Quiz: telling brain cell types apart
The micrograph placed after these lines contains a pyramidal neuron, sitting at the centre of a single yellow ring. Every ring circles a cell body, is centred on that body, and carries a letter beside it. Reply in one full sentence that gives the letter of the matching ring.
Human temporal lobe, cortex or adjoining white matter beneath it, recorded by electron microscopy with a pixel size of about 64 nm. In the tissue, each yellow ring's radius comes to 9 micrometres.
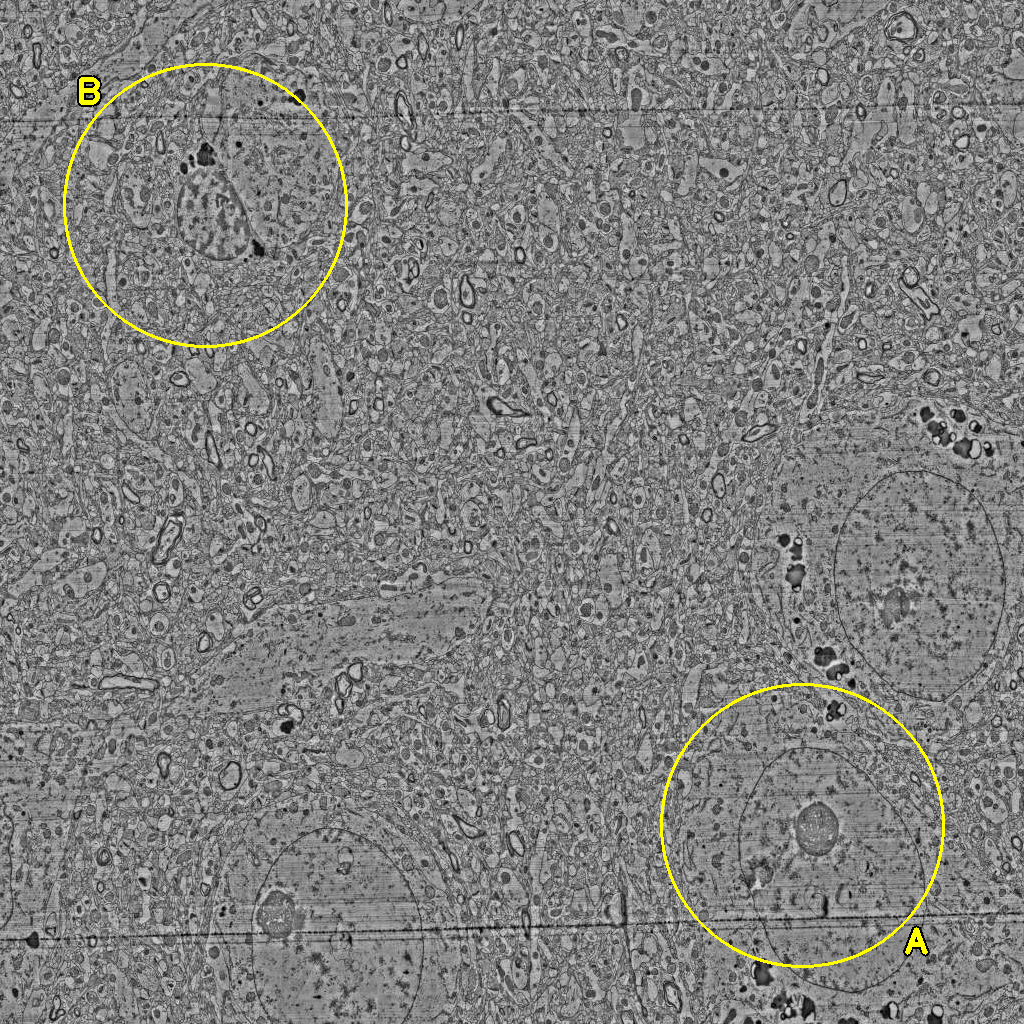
The cell asked for lies at the centre of ring A in the picture.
